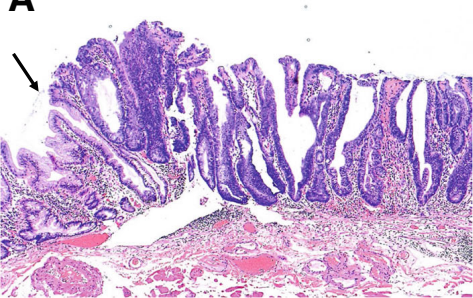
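Polyp mucosa in which dilated crypts with deep serration and paler epithelium lie at the far left, and crowded dark purple dysplastic glands fill the rest. The two kinds of epithelium meet over a short distance. Beneath the mucosa lies pink submucosa with dilated blood vessels full of red blood, without glands in it.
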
